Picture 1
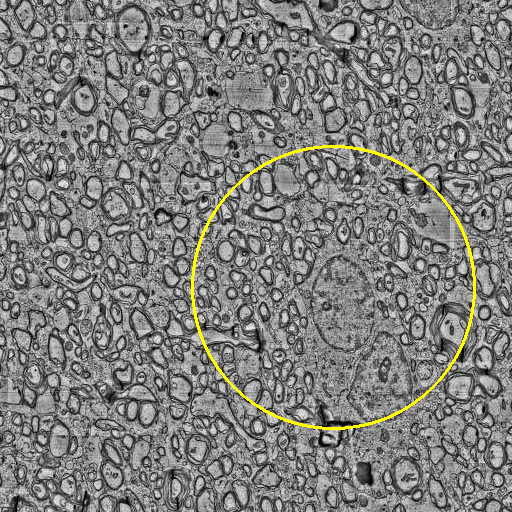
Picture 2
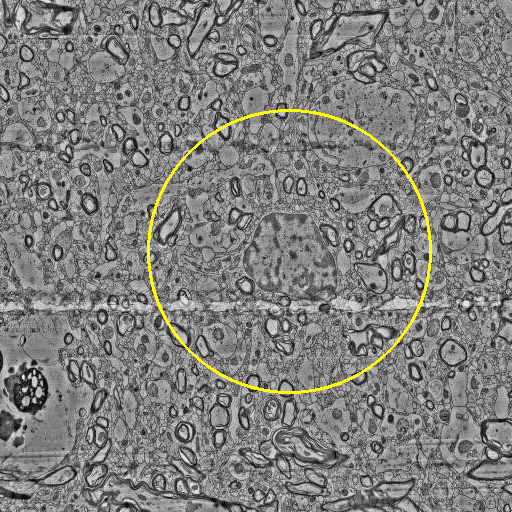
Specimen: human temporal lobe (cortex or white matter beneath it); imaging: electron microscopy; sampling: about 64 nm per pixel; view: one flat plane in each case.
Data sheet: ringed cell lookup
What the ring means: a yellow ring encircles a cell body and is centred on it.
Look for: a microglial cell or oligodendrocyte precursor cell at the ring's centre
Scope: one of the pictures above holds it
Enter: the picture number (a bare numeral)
2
